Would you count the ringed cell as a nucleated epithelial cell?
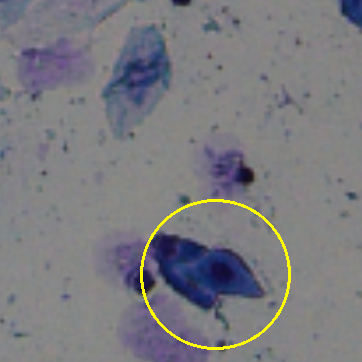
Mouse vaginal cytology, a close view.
Yes, I would count it as a nucleated epithelial cell.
